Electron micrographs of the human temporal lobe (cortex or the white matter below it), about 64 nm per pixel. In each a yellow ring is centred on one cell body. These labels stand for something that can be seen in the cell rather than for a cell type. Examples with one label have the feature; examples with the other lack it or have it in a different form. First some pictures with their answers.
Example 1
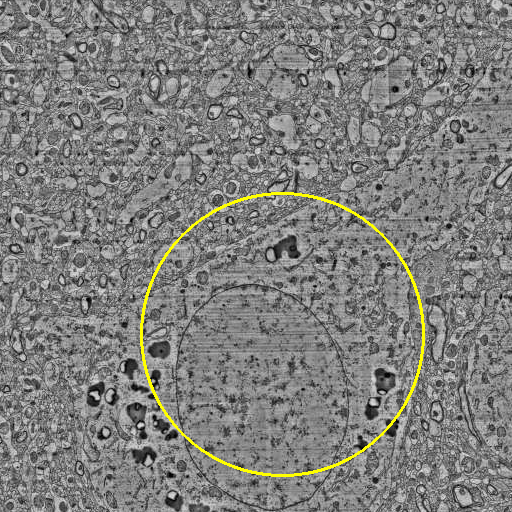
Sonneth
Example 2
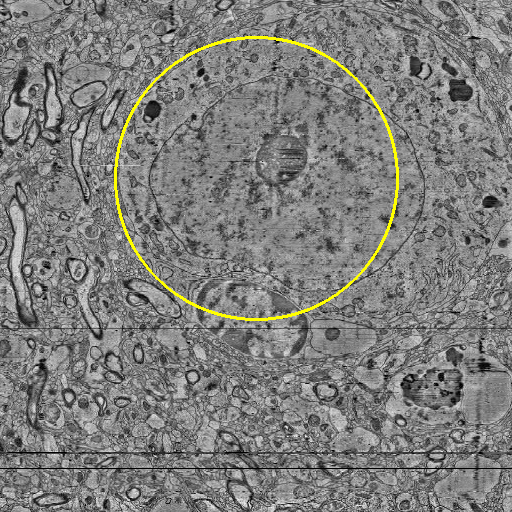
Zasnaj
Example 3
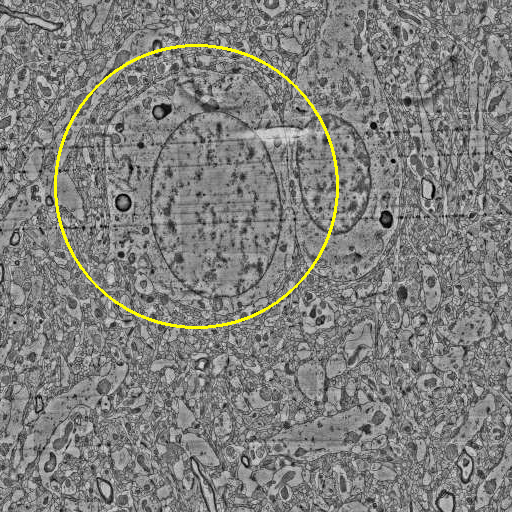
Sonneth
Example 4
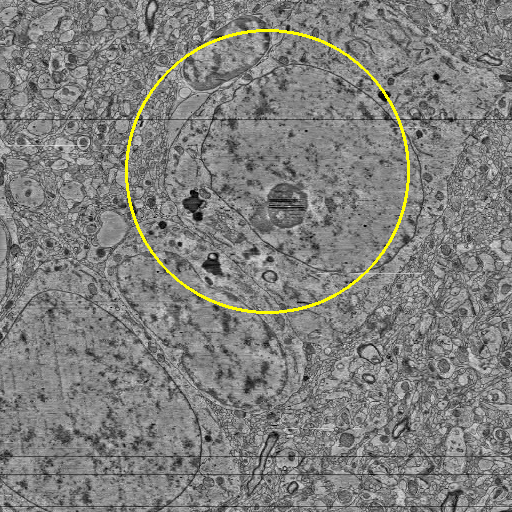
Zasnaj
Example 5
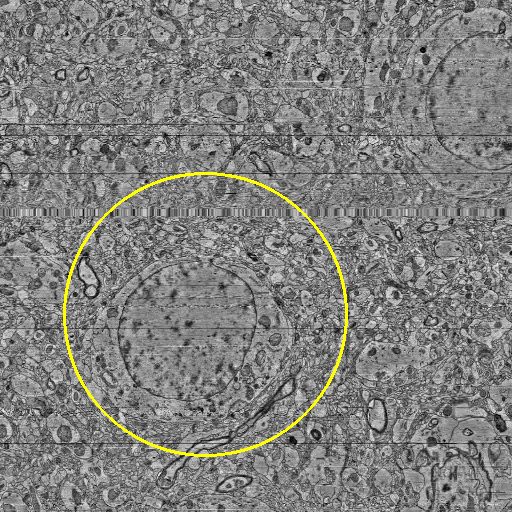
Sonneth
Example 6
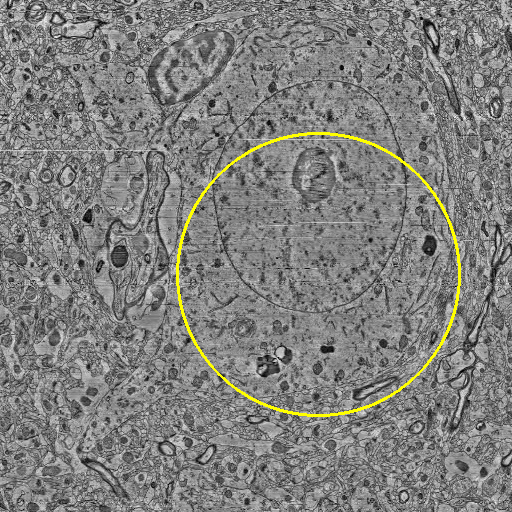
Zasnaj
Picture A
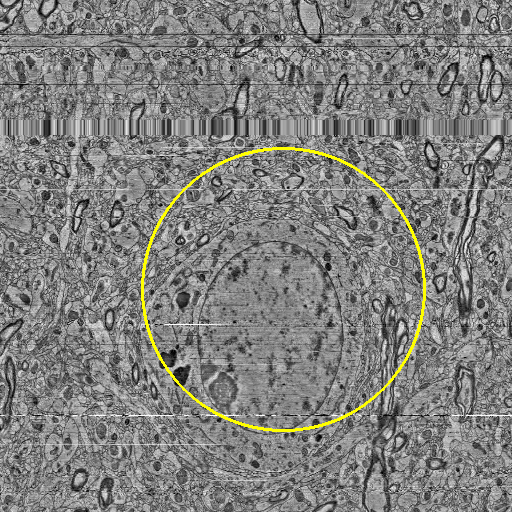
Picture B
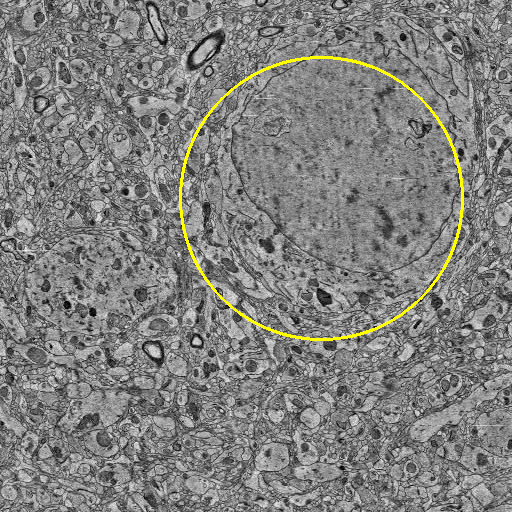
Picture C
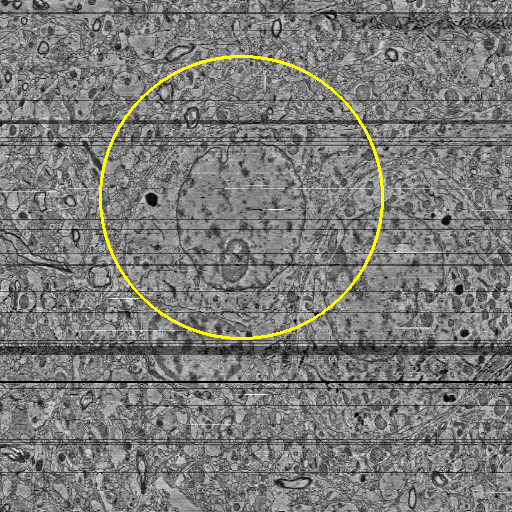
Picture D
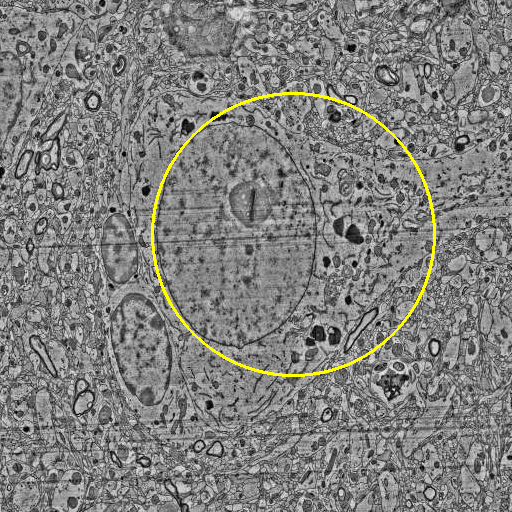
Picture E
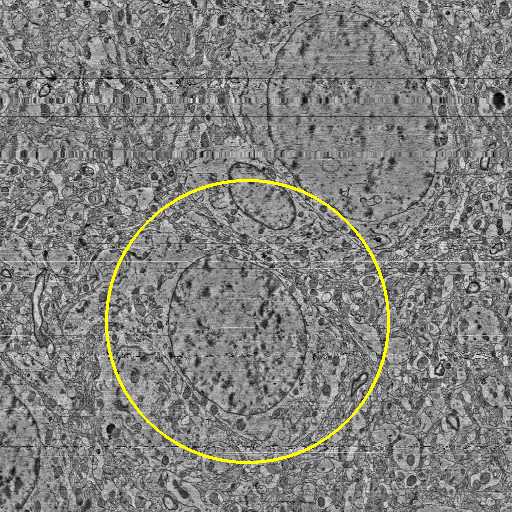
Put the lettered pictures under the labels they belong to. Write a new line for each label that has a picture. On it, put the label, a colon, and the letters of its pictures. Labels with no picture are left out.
Sonneth: B, E
Zasnaj: A, C, D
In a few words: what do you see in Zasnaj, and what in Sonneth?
Seen in Zasnaj: nucleolus seen; seen in Sonneth: no nucleolus seen.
